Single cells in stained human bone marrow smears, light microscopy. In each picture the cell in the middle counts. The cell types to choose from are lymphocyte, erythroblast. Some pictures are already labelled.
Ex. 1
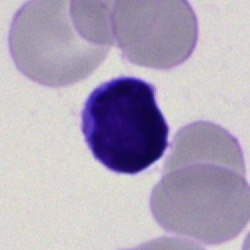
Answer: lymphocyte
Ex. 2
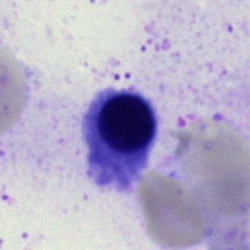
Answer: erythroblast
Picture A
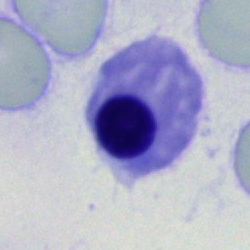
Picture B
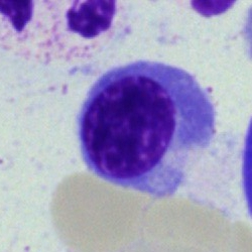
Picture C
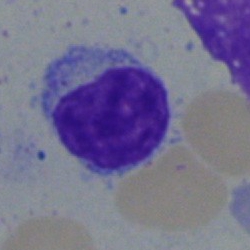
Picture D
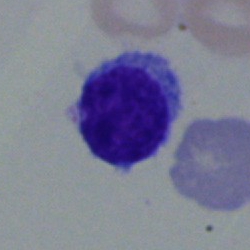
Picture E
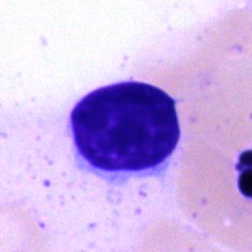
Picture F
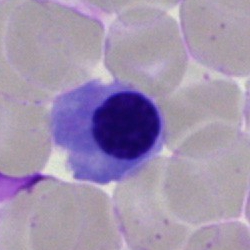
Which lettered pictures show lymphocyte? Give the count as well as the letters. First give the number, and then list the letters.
Count: 3 (C, D, E)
